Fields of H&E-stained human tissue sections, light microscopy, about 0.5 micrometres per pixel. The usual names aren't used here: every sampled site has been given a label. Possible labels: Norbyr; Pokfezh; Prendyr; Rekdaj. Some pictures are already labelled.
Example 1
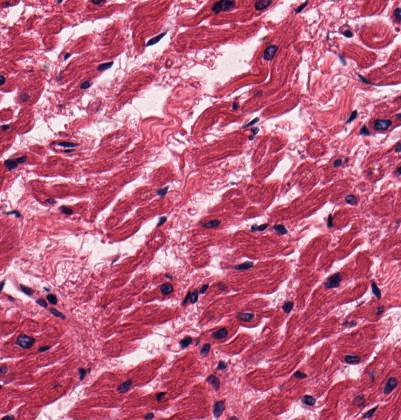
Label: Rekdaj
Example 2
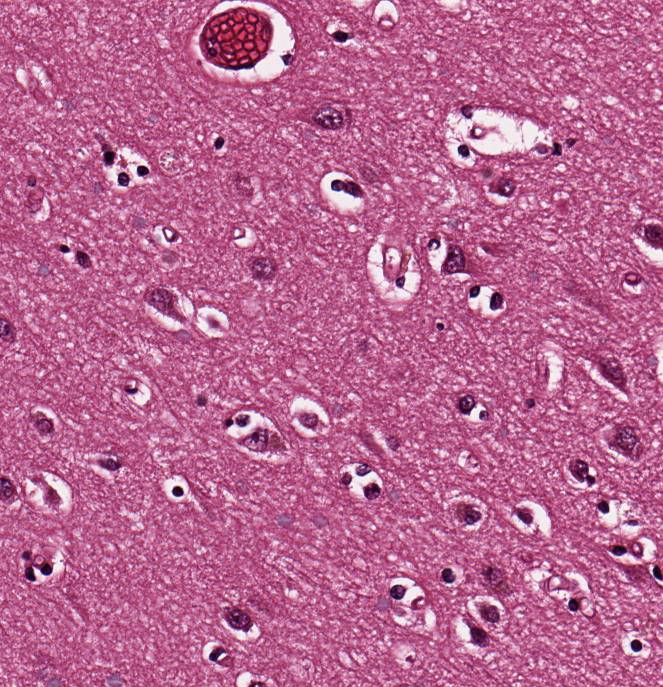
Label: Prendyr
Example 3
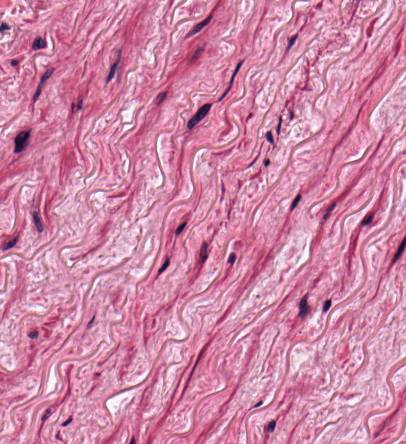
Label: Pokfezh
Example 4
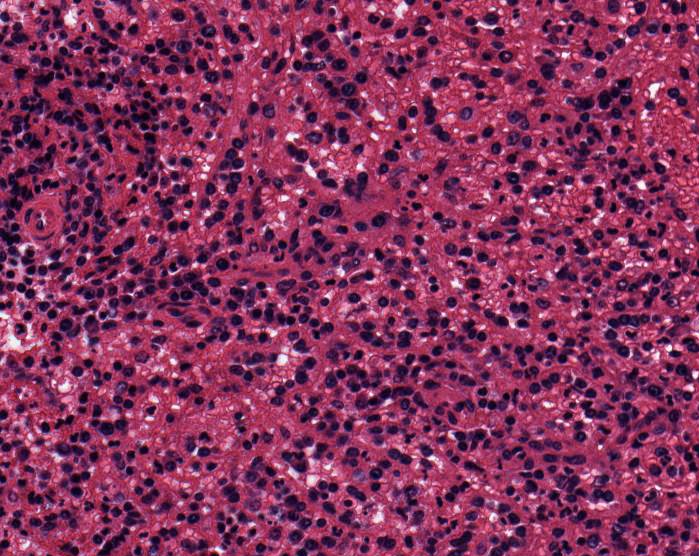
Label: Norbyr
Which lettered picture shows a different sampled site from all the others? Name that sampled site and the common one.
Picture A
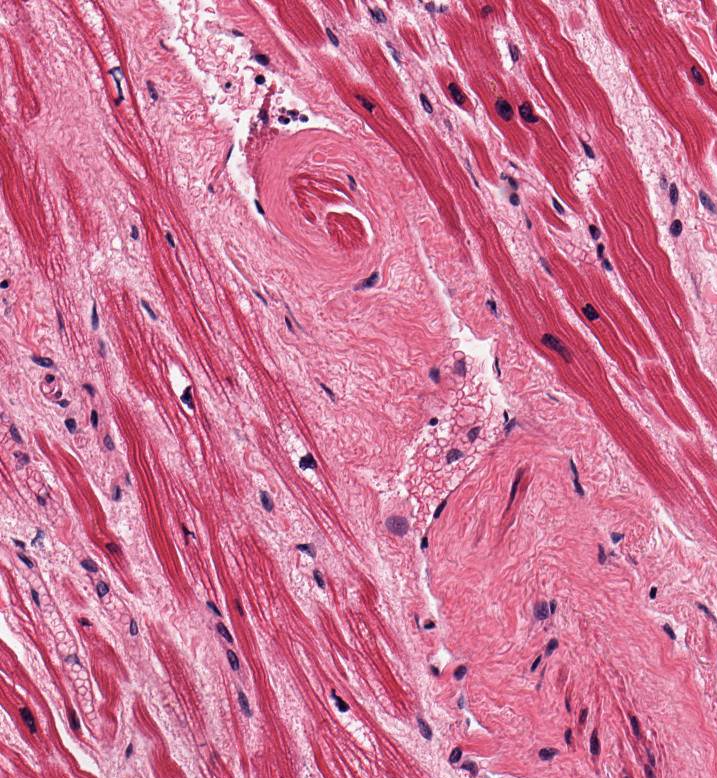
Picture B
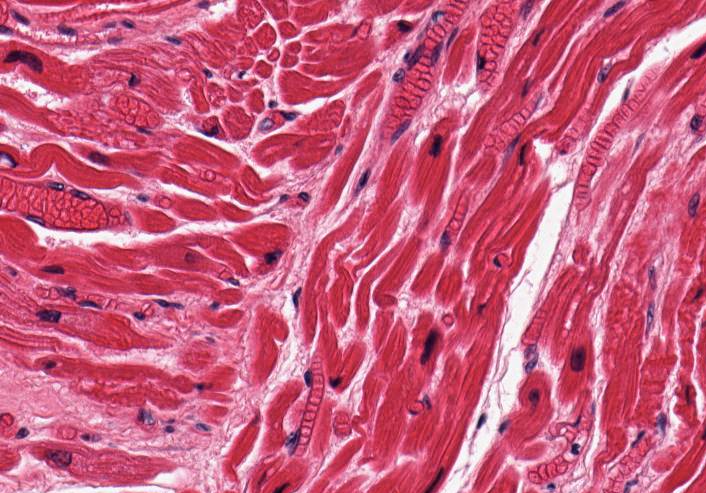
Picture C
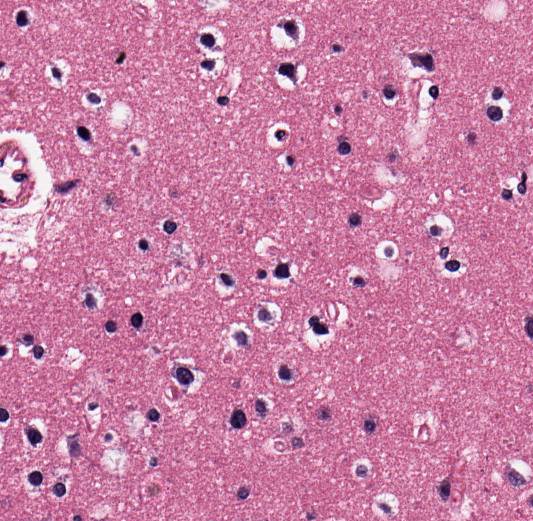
Exception: C, showing Prendyr. Remaining pictures: Rekdaj.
